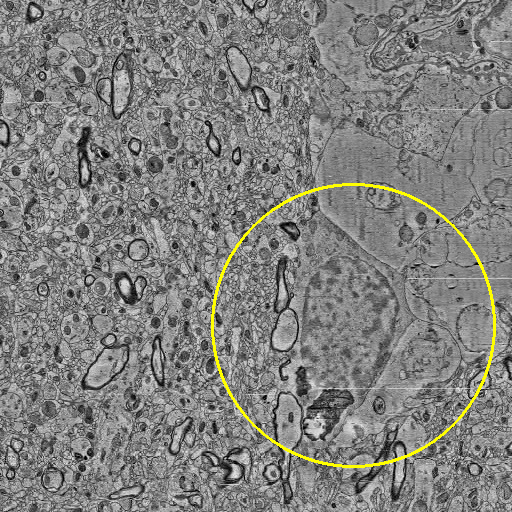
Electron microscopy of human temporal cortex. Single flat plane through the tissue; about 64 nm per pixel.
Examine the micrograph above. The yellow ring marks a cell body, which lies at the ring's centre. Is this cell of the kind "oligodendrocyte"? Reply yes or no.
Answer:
yes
